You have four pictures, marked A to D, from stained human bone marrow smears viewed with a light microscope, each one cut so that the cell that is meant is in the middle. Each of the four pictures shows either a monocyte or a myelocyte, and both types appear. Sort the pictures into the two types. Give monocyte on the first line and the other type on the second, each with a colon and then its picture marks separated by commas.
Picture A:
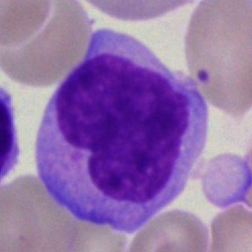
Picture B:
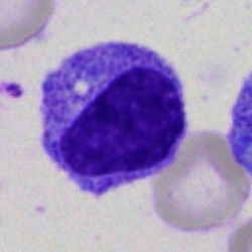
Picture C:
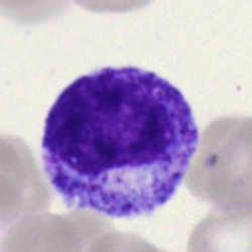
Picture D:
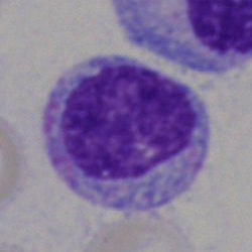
monocyte: A
myelocyte: B, C, D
